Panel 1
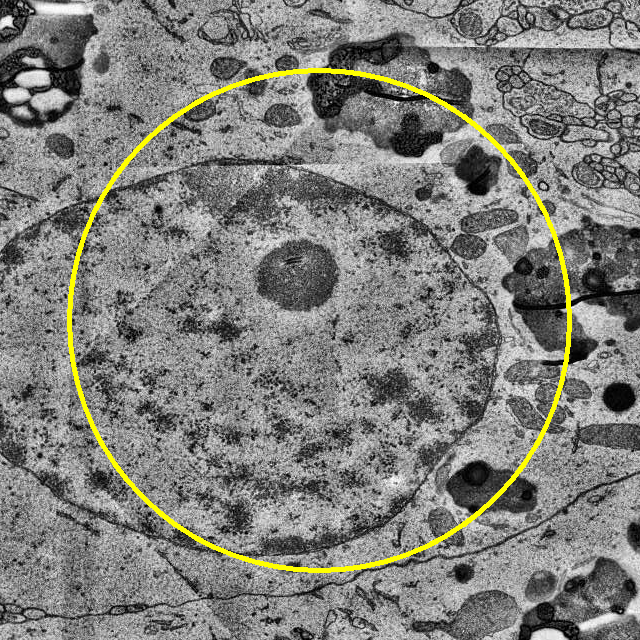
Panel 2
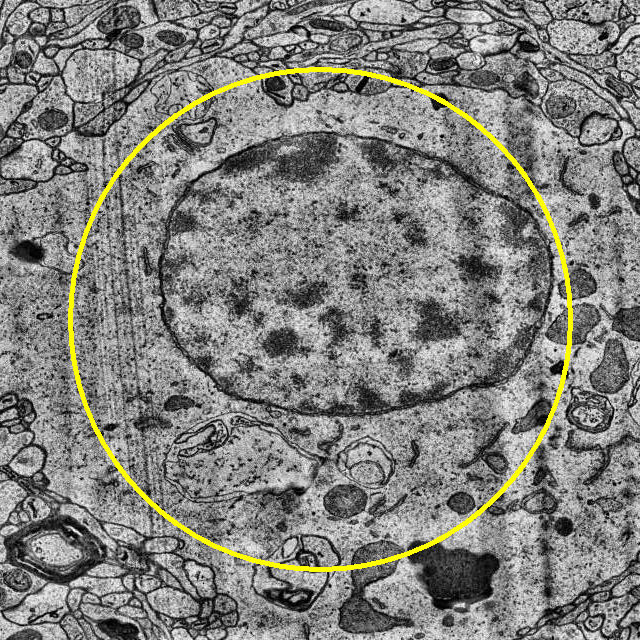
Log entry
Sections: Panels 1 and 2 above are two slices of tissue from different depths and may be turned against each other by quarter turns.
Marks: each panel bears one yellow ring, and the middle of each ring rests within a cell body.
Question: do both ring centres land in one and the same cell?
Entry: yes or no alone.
no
